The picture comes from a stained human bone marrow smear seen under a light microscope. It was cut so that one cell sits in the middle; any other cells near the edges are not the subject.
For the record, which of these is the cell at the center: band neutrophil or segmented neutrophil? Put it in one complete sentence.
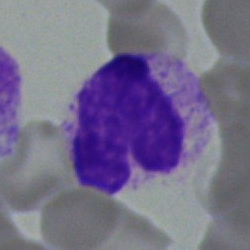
In this smear crop, the middle cell is a band neutrophil.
